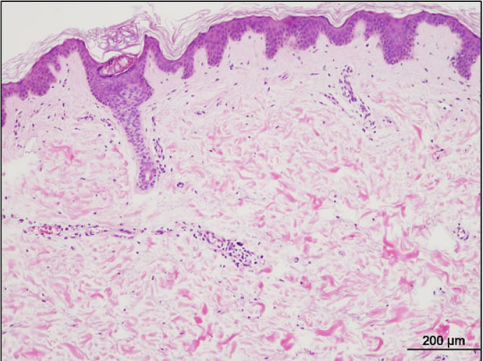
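This is skin, with a purple-staining stratified epidermis topped by a layer of loose, flaky pink keratin and rete ridges reaching down into the dermis. One downgrowth of the epidermis holds a small rounded structure near the surface. Beneath it the dermis is made of pale pink, loosely woven collagen. Here and there small vessels in the dermis are surrounded by small collections of dark-nucleated inflammatory cells.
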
